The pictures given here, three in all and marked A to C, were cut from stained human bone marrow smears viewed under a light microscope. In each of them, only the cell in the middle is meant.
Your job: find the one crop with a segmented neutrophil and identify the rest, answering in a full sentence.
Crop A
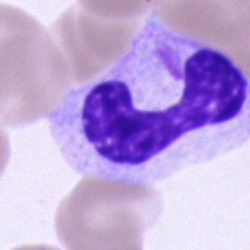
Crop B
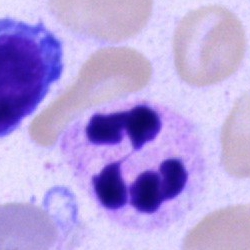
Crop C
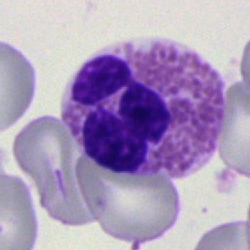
Inside crop B there is a segmented neutrophil, while crop A is a band neutrophil and crop C is an eosinophil.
